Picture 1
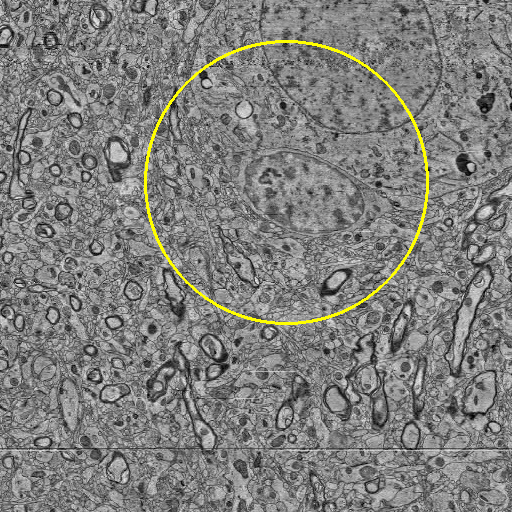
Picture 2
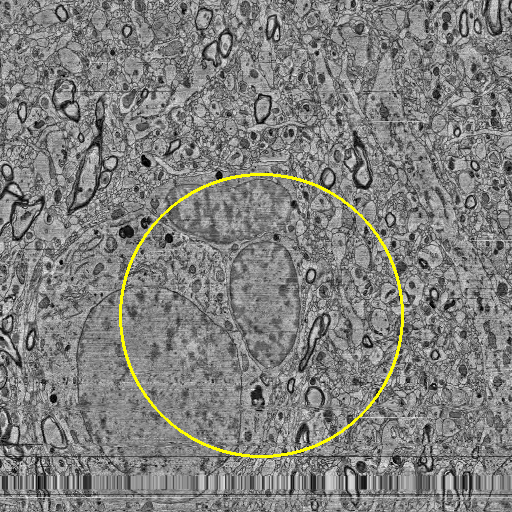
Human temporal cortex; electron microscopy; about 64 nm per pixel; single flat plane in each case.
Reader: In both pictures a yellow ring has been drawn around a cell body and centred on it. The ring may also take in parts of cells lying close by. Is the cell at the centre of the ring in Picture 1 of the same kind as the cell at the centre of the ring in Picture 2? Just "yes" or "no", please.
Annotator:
yes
